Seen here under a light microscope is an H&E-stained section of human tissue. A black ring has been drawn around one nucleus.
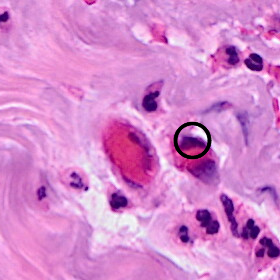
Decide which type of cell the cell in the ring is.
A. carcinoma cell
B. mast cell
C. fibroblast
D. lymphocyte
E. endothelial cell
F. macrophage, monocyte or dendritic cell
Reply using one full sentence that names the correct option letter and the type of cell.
Here the right answer is E, with the cell in the ring being an endothelial cell.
